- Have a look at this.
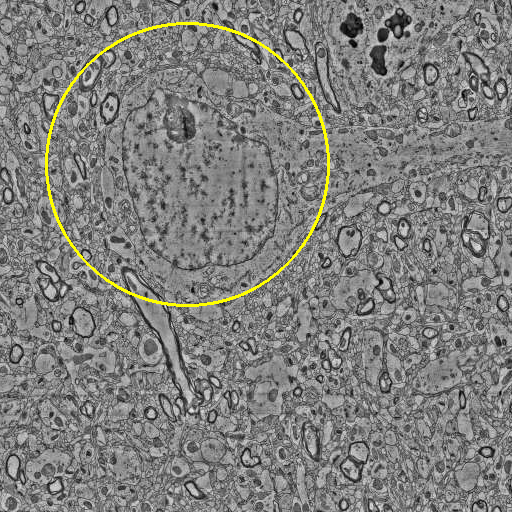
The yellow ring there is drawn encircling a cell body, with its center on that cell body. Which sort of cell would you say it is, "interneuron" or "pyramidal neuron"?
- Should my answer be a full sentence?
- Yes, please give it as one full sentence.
For this picture, a pyramidal neuron is the cell where the yellow ring has its center.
